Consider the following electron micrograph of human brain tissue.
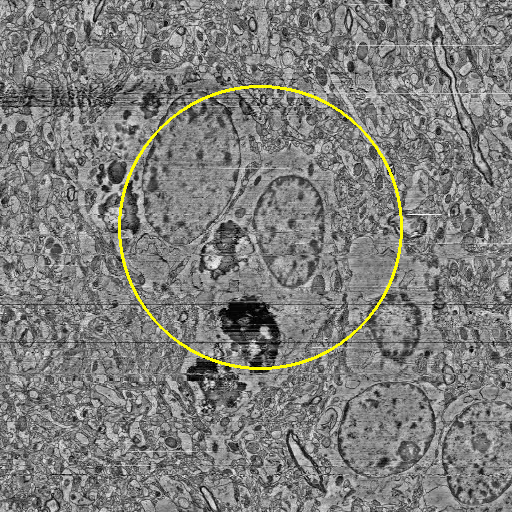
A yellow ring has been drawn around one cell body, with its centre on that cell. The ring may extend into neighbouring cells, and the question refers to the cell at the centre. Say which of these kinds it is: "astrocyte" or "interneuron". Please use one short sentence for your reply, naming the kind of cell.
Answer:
The centre of the ring falls on an astrocyte.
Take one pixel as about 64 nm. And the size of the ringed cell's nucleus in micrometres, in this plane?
Roughly 7 micrometres by 5 micrometres, so the nucleus is clearly longer than it is wide in this plane.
